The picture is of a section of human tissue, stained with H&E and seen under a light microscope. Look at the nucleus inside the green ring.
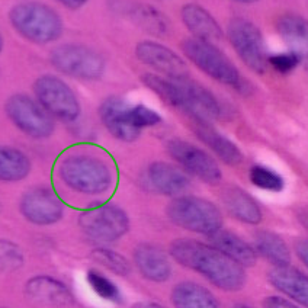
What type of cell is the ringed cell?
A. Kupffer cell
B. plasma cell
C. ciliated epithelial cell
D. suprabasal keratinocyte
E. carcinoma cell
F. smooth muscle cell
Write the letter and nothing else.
D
